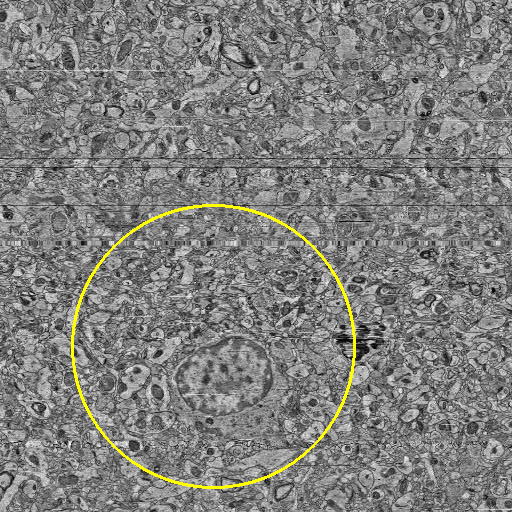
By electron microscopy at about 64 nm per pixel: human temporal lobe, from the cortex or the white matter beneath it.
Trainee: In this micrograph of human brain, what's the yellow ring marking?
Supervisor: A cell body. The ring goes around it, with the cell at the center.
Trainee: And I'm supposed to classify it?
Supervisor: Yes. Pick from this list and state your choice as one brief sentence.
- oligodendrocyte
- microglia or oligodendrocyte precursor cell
The cell at the ring's center is an oligodendrocyte.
